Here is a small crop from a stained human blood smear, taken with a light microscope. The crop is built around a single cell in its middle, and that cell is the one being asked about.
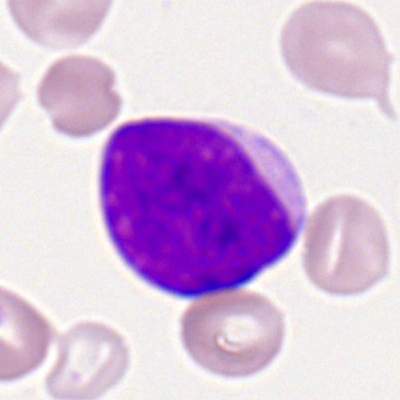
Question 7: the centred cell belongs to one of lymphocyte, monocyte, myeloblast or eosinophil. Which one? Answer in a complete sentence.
In the crop, the cell of interest at the centre is a myeloblast.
